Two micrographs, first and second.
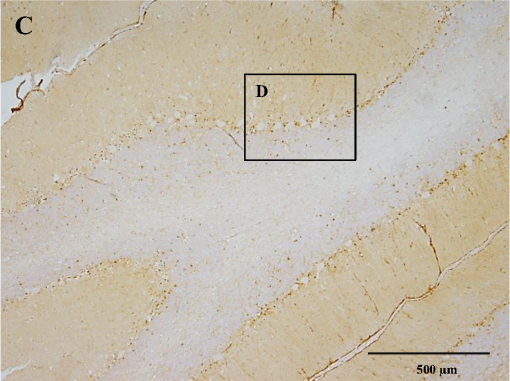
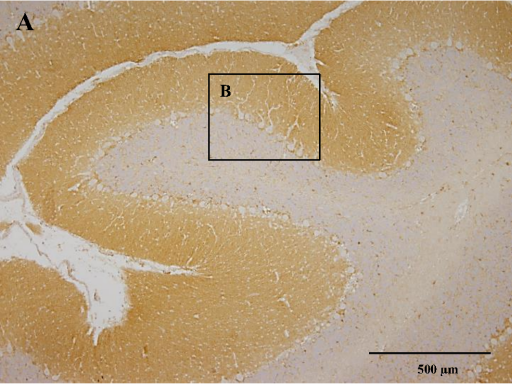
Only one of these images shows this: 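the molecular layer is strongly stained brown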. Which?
The second image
